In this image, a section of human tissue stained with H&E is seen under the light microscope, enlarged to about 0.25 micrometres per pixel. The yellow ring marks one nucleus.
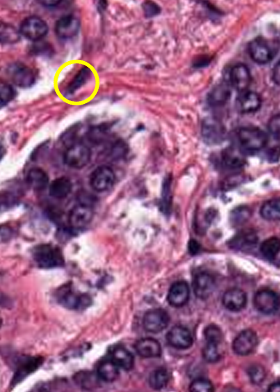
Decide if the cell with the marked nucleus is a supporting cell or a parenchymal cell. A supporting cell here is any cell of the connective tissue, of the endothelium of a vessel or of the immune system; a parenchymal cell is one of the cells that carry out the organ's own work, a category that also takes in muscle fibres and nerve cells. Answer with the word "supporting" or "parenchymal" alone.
supporting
